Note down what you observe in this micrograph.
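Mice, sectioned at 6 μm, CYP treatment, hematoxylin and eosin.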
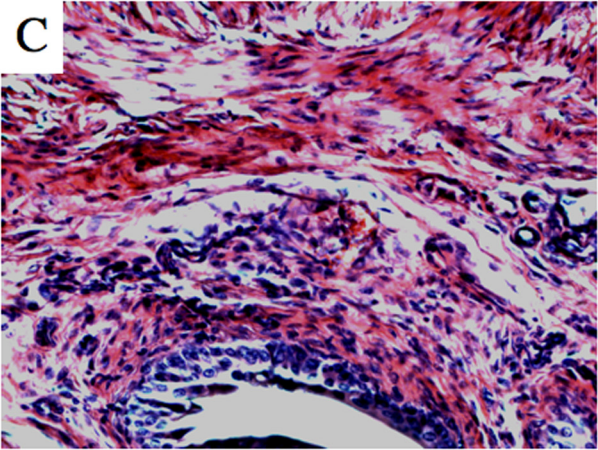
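This high-power view shows the wall of the urinary bladder next to the lumen, with the mucosal layer at the bottom and bundles of pink smooth muscle above. The lining epithelium at the lower edge is made of several layers of crowded cells with round, dark purple nuclei bordering a clear lumen. Above it, the connective tissue holds many small, dark nuclei scattered between pale fibres and small vessels. Higher up, pink muscle fibres with elongated nuclei run in interlacing strands, separated by pale spaces.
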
